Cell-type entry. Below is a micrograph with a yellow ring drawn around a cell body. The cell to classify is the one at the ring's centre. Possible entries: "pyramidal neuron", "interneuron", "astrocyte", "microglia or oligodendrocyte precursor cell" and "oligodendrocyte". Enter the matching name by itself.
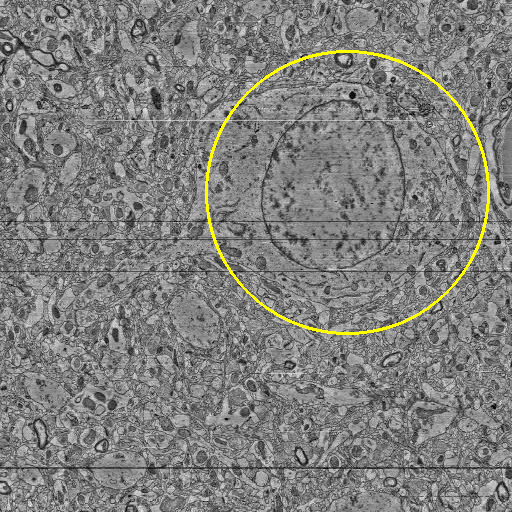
pyramidal neuron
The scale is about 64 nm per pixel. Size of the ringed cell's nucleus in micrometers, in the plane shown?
The nucleus measures about 11 by 9 micrometres in this plane.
